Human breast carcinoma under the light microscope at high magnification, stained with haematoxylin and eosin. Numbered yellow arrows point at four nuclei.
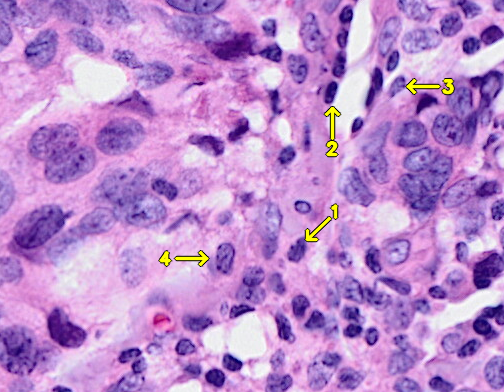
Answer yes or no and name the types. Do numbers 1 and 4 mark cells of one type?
No, cell 1 is a lymphocyte and cell 4 is a macrophage, monocyte or dendritic cell.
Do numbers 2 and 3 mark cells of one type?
Yes, both are lymphocytes.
